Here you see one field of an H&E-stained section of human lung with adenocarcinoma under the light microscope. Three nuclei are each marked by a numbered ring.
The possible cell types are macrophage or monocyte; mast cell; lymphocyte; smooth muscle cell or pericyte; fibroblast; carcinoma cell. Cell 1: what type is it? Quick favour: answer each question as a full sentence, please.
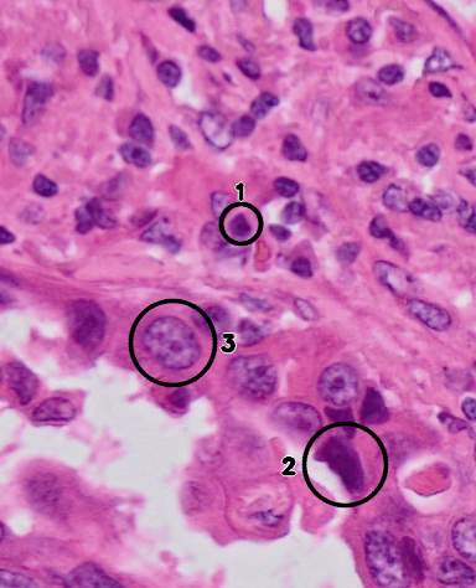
Cell 1, among those numbered, is a lymphocyte.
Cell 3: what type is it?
Cell 3 should be recorded as a carcinoma cell.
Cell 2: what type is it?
That cell with number 2 is a carcinoma cell.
